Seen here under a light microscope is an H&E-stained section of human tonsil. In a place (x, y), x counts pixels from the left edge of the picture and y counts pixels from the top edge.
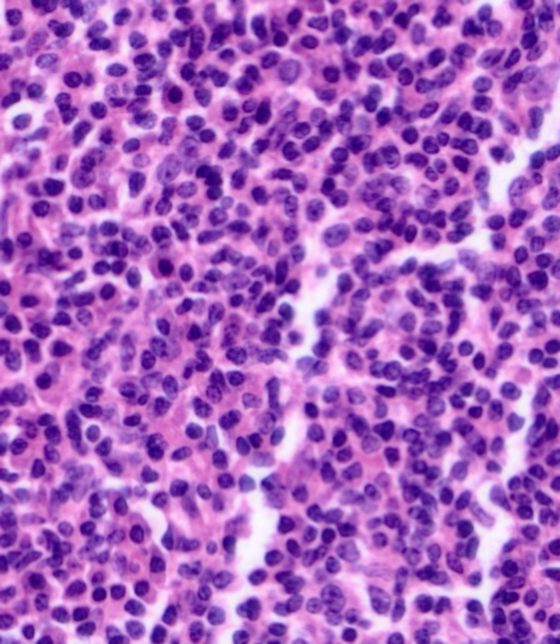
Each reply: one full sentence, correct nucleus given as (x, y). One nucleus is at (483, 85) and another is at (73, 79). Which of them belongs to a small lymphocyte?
Out of the two, it is the nucleus at (483, 85) that belongs to a small lymphocyte.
